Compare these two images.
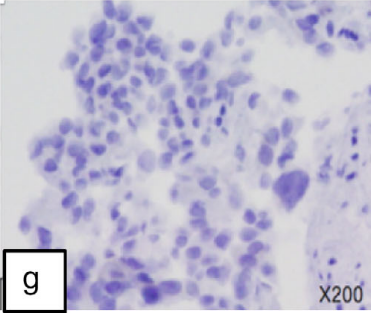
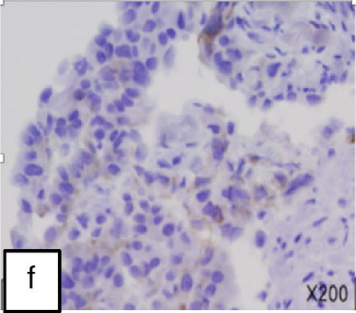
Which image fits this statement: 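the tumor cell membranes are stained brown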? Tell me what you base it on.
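First image: the tumor cells show only blue nuclei and pale cytoplasm, with no brown stain. Second image: faint brown stain outlines some of the tumor cells. On this evidence: the second image.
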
